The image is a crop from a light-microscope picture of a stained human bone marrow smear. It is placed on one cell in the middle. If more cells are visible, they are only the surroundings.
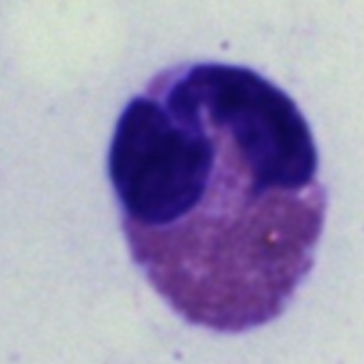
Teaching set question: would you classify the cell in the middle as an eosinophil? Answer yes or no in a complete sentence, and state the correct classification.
Yes, the cell shown at the crop's centre is an eosinophil.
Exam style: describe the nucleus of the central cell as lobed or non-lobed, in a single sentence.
The nucleus here is split into two or more lobes, not one.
